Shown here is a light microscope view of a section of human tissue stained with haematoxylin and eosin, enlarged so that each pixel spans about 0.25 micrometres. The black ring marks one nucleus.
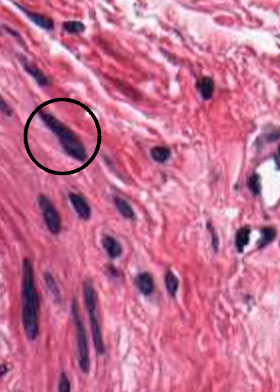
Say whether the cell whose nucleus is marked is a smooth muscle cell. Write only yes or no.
yes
